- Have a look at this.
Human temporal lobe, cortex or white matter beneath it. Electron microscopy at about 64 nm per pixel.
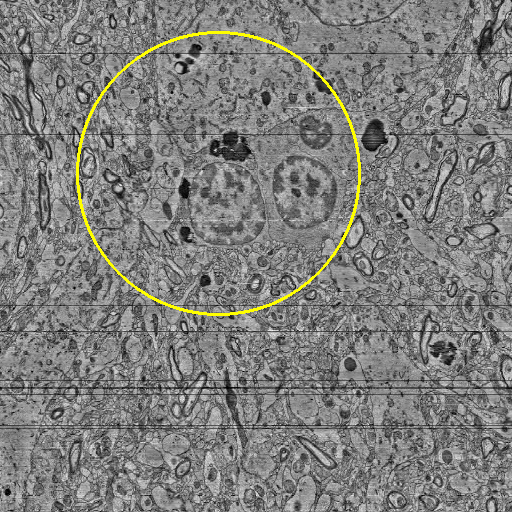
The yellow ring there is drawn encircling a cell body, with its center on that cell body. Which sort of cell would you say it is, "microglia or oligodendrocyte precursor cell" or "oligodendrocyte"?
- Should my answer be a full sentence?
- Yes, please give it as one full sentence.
For this picture, an oligodendrocyte is the cell where the yellow ring has its center.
